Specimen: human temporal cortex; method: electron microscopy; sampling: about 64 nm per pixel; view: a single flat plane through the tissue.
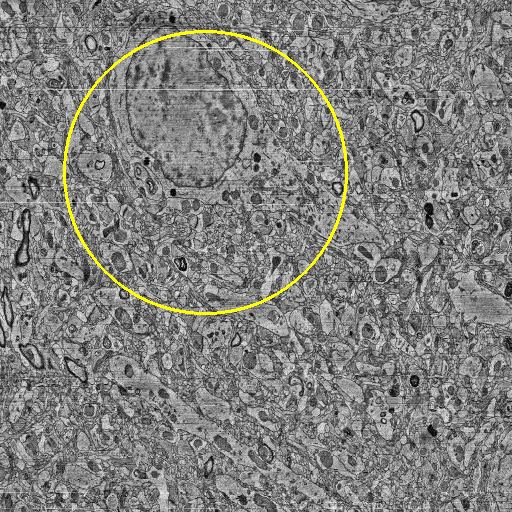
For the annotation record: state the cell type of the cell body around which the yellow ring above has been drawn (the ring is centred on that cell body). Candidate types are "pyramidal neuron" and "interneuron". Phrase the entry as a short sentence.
The ringed cell is a pyramidal neuron.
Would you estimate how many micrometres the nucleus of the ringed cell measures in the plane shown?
Approximately 11 by 7 micrometers in this plane.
